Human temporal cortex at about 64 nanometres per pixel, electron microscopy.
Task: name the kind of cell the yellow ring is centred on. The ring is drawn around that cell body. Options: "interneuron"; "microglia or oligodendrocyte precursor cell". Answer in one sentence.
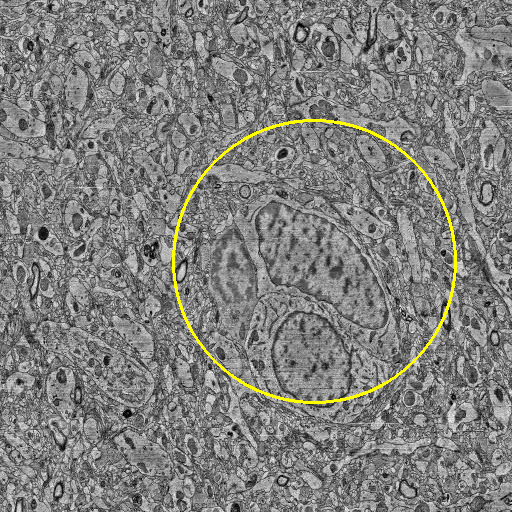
This cell body belongs to a microglial cell or oligodendrocyte precursor cell.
